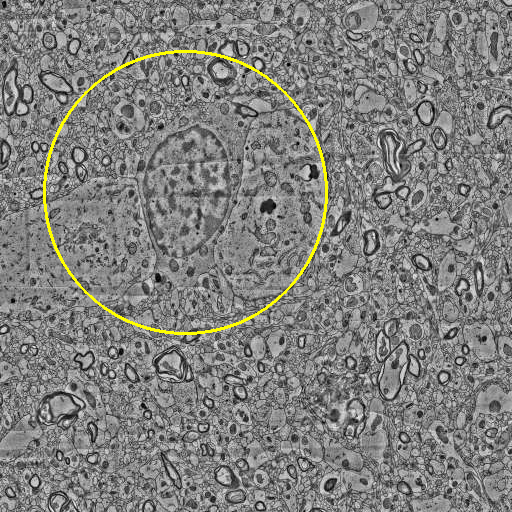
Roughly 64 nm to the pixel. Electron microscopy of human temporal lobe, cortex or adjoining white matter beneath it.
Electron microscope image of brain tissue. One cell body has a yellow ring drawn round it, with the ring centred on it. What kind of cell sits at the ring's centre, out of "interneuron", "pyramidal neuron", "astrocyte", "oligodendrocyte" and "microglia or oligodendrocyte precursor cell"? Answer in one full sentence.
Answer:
It is an oligodendrocyte whose cell body sits at the centre of the yellow ring.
